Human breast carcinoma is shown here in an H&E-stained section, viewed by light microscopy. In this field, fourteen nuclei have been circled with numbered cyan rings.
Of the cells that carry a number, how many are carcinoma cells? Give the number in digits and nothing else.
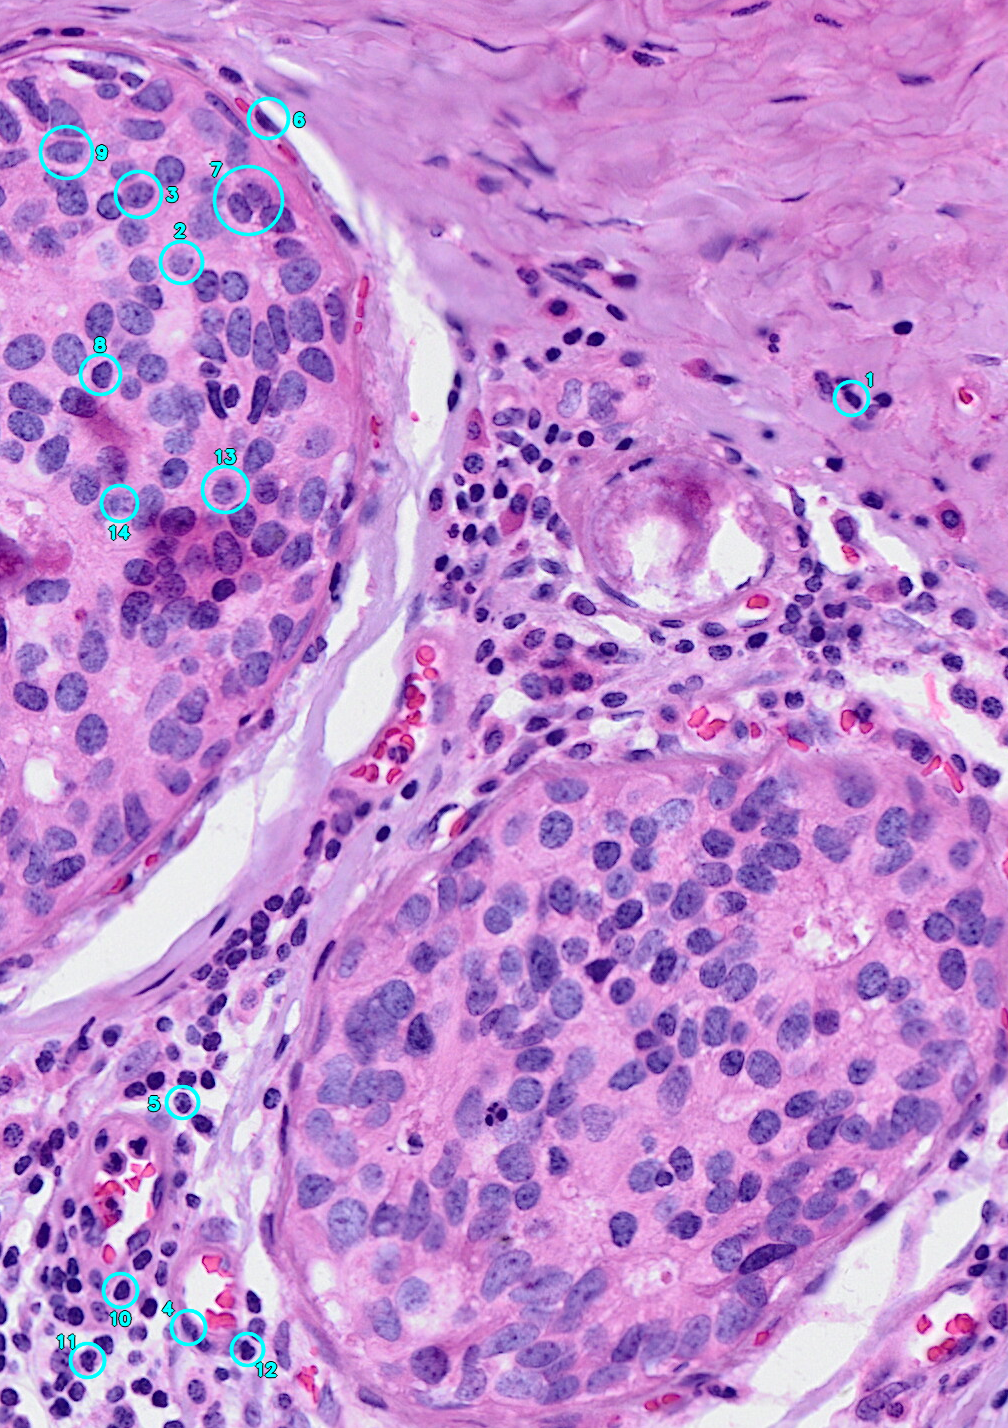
7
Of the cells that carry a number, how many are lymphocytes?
5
